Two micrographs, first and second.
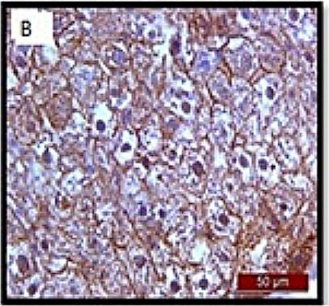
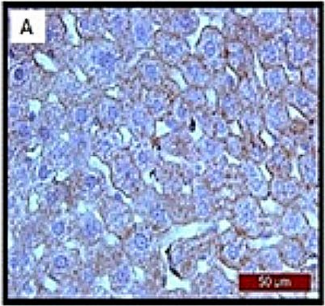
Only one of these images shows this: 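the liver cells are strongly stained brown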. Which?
The first image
